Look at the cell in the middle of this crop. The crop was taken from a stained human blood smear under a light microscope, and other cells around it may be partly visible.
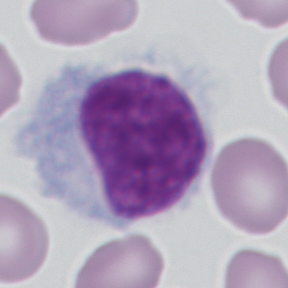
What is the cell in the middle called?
hairy cell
